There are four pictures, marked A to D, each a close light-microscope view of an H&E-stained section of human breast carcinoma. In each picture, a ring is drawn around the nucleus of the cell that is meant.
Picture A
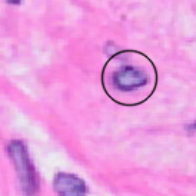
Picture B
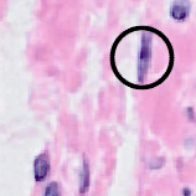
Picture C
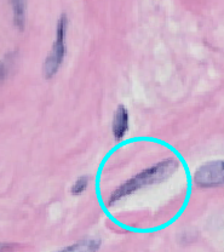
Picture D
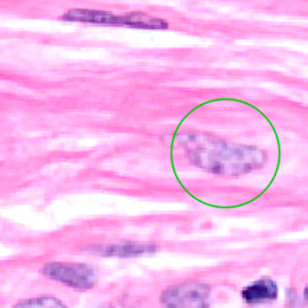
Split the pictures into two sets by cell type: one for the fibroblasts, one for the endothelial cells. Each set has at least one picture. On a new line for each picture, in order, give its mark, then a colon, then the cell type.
A: endothelial cell
B: fibroblast
C: endothelial cell
D: fibroblast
